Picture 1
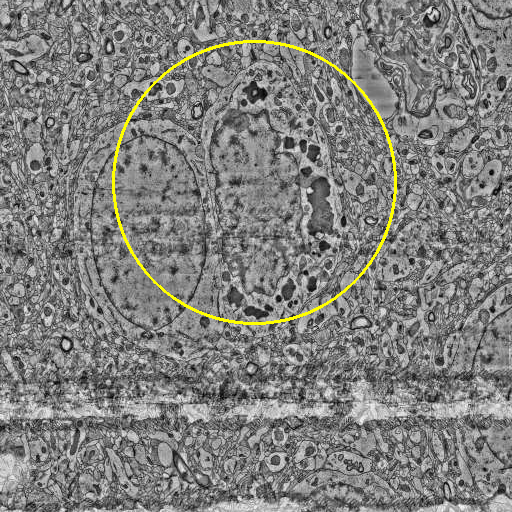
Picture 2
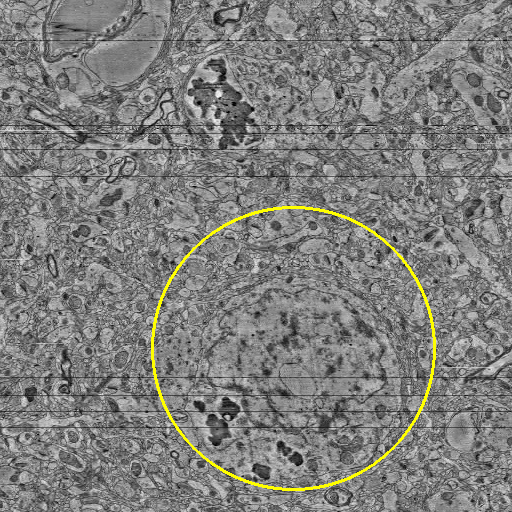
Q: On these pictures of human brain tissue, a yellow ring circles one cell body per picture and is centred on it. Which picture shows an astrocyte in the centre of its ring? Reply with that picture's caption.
Picture 2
